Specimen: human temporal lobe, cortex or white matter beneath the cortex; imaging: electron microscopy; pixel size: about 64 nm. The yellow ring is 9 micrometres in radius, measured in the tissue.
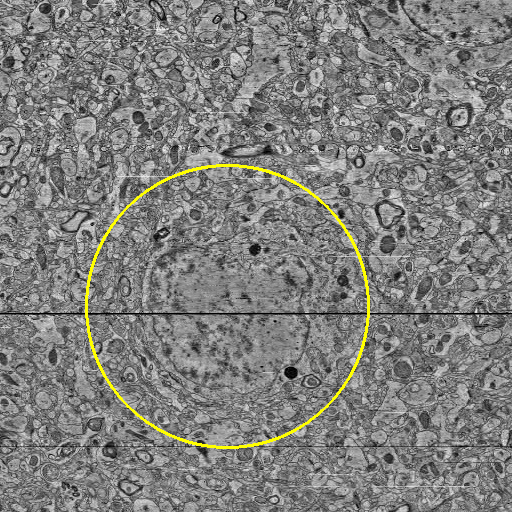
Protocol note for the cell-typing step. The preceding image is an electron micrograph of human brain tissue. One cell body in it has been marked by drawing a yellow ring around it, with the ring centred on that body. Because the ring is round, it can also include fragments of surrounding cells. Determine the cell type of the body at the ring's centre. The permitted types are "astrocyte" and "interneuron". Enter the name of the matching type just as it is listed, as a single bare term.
interneuron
